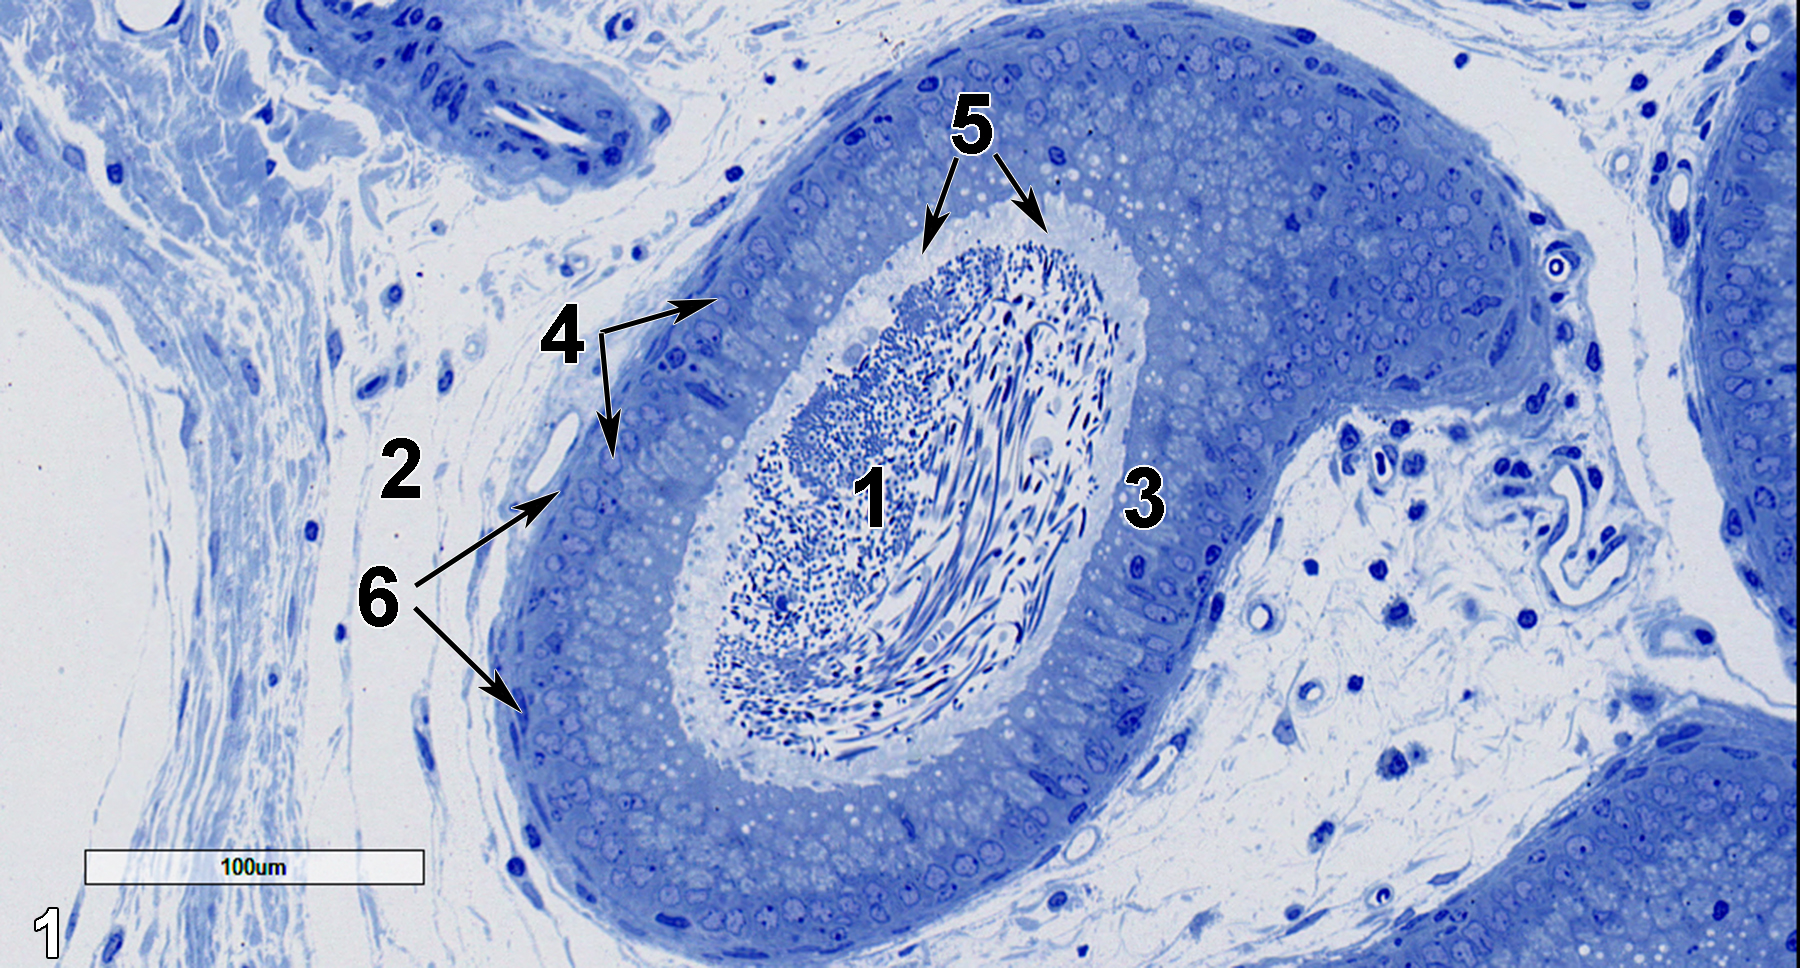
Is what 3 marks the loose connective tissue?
No, it marks the columnar epithelial cells; the loose connective tissue is at 2.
